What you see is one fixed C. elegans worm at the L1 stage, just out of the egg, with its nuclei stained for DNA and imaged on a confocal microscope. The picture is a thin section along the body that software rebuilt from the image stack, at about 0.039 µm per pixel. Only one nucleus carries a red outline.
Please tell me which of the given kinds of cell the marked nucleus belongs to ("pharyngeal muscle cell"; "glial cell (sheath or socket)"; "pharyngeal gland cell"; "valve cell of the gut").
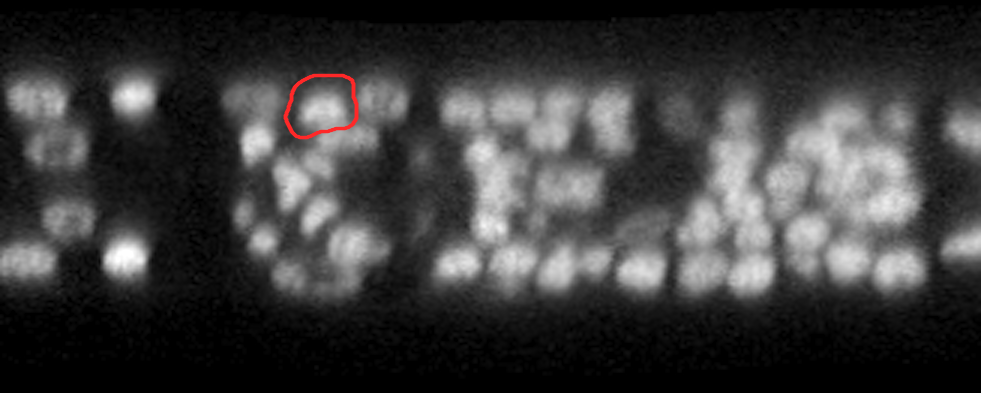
glial cell (sheath or socket)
